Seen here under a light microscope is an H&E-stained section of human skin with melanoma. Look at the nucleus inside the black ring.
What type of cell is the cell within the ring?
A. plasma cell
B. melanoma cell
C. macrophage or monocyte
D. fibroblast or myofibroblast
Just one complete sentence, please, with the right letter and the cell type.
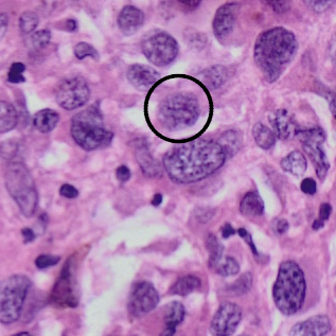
Option B names the cell within the ring correctly as a melanoma cell.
